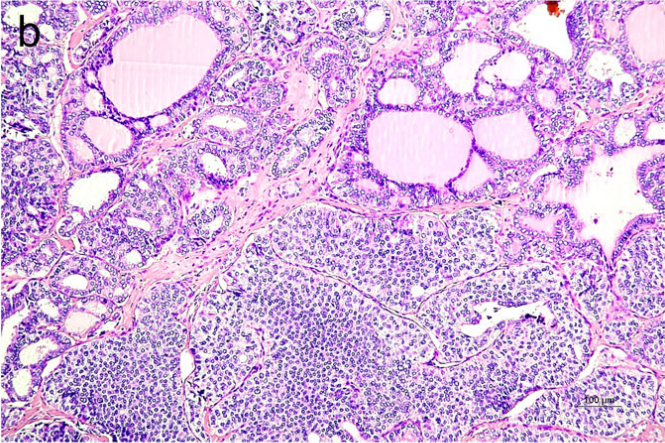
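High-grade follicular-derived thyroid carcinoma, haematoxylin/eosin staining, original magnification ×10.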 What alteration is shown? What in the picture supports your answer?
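The lower part of the panel shows large solid nests of closely packed tumour cells without follicles. The nests are separated by thin fibrous septa. The upper left contains follicles with pink colloid. That points to this answer: insular and solid growth patterns.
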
